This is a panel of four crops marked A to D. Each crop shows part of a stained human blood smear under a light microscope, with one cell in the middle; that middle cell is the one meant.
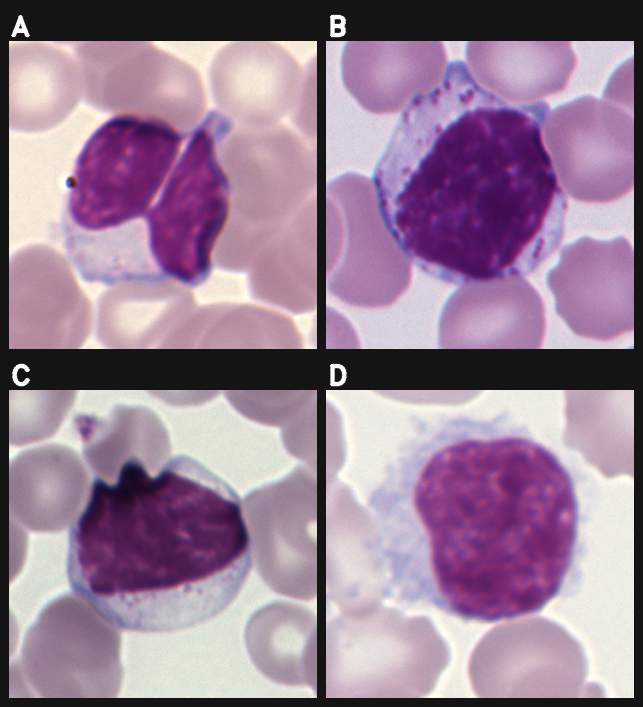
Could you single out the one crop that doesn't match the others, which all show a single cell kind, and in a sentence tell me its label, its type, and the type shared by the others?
Shown in crop D is a hairy cell, in contrast to the large granular lymphocytes of all the other crops.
